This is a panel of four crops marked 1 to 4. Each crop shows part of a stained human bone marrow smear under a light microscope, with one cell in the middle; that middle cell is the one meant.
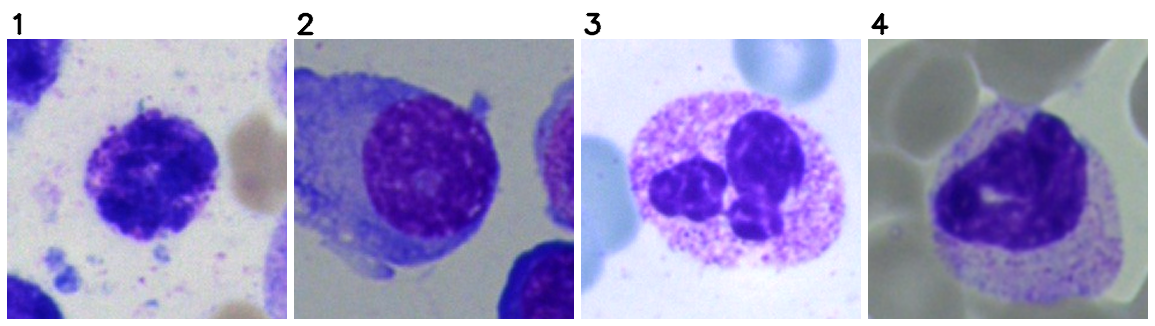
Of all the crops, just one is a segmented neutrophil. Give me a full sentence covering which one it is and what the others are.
The cell of interest in crop 3 is a segmented neutrophil, and crop 1 is a basophil, crop 2 is a plasma cell and crop 4 is a band neutrophil.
